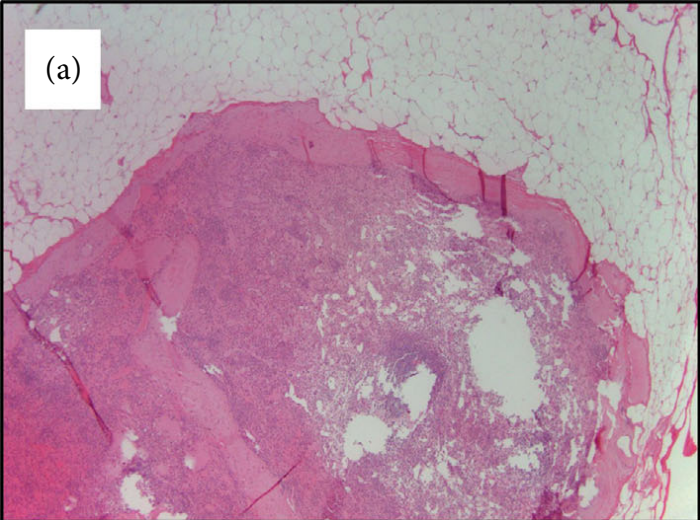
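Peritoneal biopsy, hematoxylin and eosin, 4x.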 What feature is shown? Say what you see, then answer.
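Encapsulated nodule. A rounded, sharply bordered mass of densely cellular tissue. A thin pink band surrounds the mass. Clear fat cells lie all around the mass.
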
